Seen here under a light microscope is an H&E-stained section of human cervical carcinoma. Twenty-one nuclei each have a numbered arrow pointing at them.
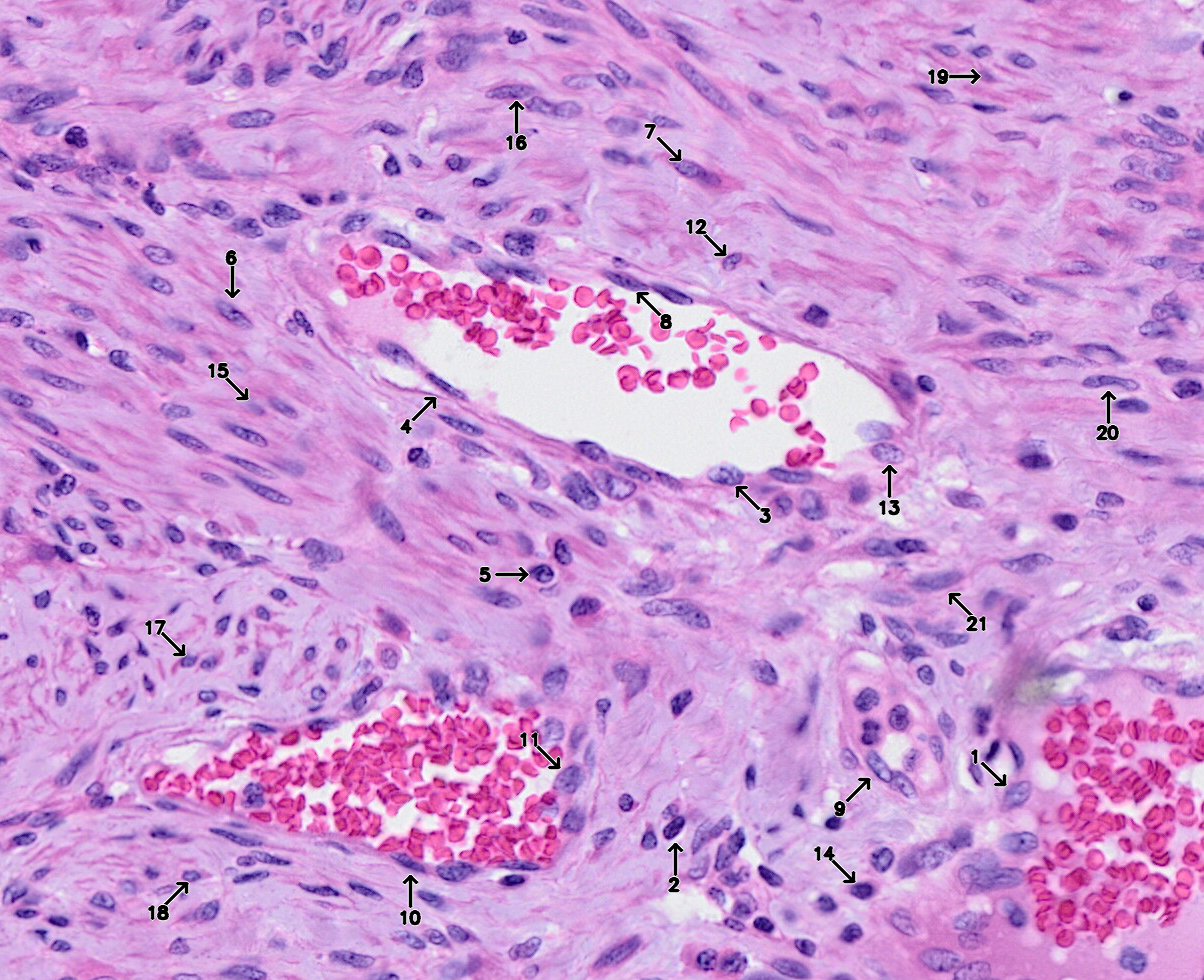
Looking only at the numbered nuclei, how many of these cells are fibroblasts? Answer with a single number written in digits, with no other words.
2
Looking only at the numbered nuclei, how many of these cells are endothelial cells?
8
